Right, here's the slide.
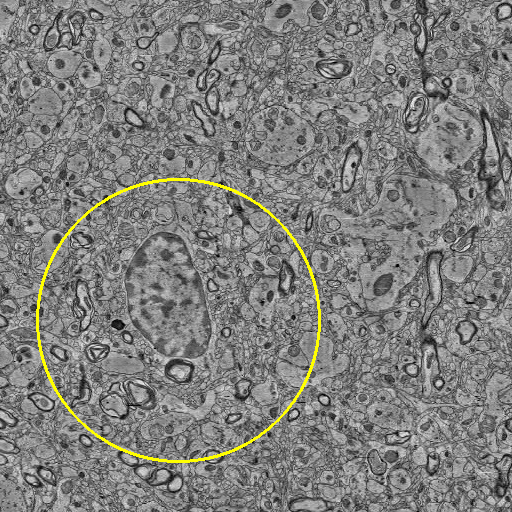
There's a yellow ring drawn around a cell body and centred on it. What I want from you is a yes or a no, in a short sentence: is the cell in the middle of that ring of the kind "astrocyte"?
No, it's of some other kind.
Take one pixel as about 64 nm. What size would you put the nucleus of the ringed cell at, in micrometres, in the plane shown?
Clearly longer than it is wide in this plane, the nucleus measures roughly 9 by 5 micrometres.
